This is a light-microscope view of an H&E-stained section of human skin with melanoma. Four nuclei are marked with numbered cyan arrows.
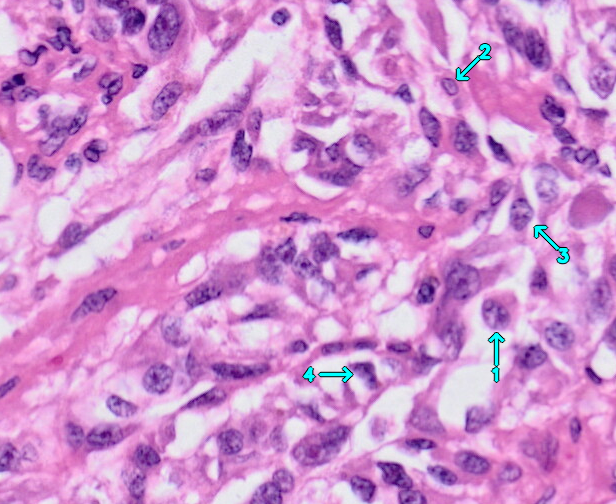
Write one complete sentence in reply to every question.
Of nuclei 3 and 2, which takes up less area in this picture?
With nucleus 3 about 3 times its size, nucleus 2 is the smaller of the two.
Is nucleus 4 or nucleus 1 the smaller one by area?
Number 4 is smaller, since number 1 takes up about 1.5 times as much area.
